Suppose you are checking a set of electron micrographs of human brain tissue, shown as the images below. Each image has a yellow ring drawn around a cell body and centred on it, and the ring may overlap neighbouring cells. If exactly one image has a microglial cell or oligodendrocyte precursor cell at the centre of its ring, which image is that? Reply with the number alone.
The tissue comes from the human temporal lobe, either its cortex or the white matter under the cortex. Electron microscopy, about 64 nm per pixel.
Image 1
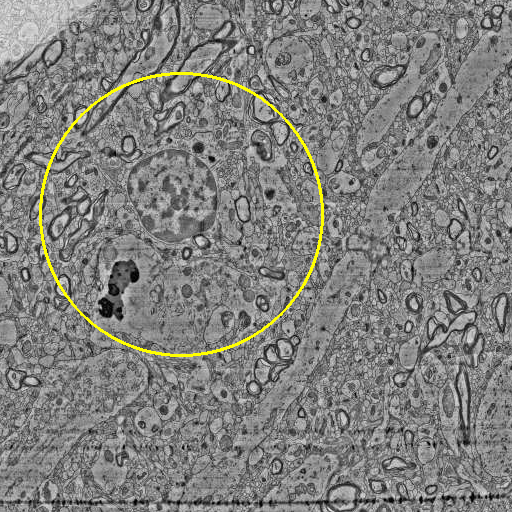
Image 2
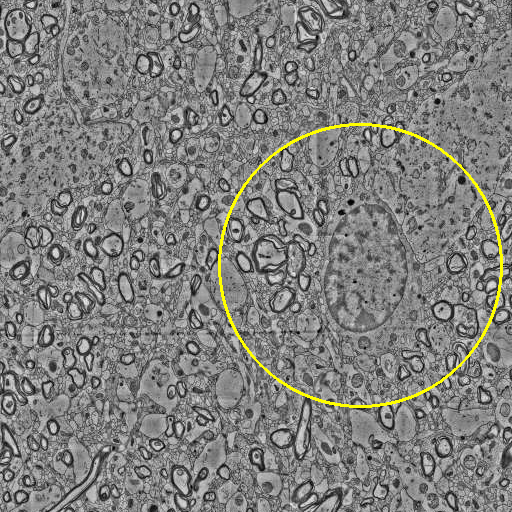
1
